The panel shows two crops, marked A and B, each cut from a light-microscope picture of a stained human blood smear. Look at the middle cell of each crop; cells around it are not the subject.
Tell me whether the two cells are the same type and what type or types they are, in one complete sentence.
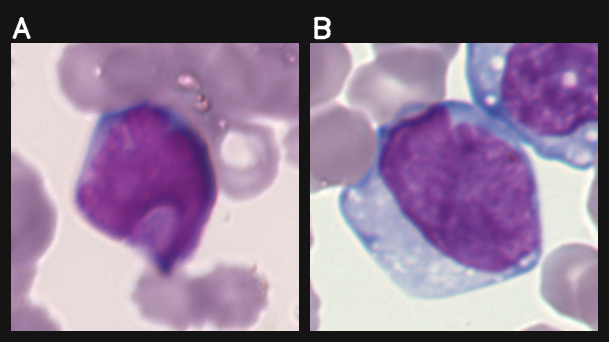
Yes, the central cells of both crops are blasts.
